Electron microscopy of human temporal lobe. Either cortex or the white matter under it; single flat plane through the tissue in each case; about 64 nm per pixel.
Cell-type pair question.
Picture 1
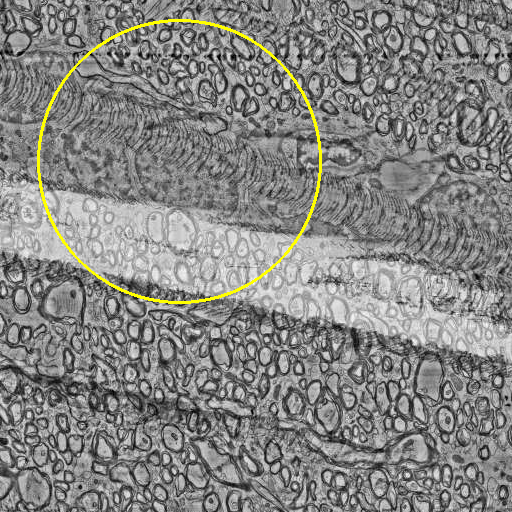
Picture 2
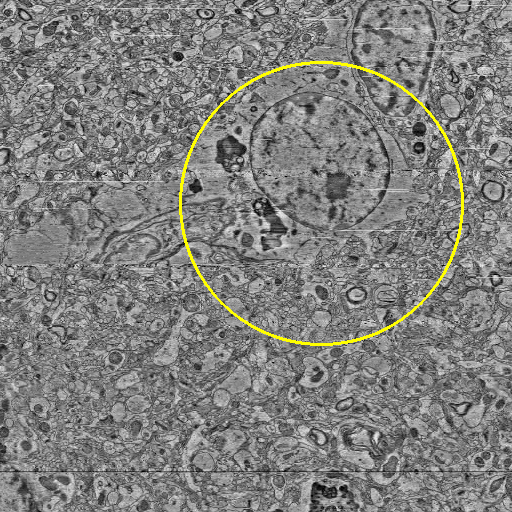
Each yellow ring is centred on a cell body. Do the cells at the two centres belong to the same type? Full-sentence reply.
No, the two cells belong to two types.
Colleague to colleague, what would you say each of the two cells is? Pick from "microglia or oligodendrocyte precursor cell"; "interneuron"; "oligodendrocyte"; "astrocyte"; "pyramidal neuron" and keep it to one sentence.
The cell in the first picture is an oligodendrocyte; the second picture's cell is an astrocyte.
